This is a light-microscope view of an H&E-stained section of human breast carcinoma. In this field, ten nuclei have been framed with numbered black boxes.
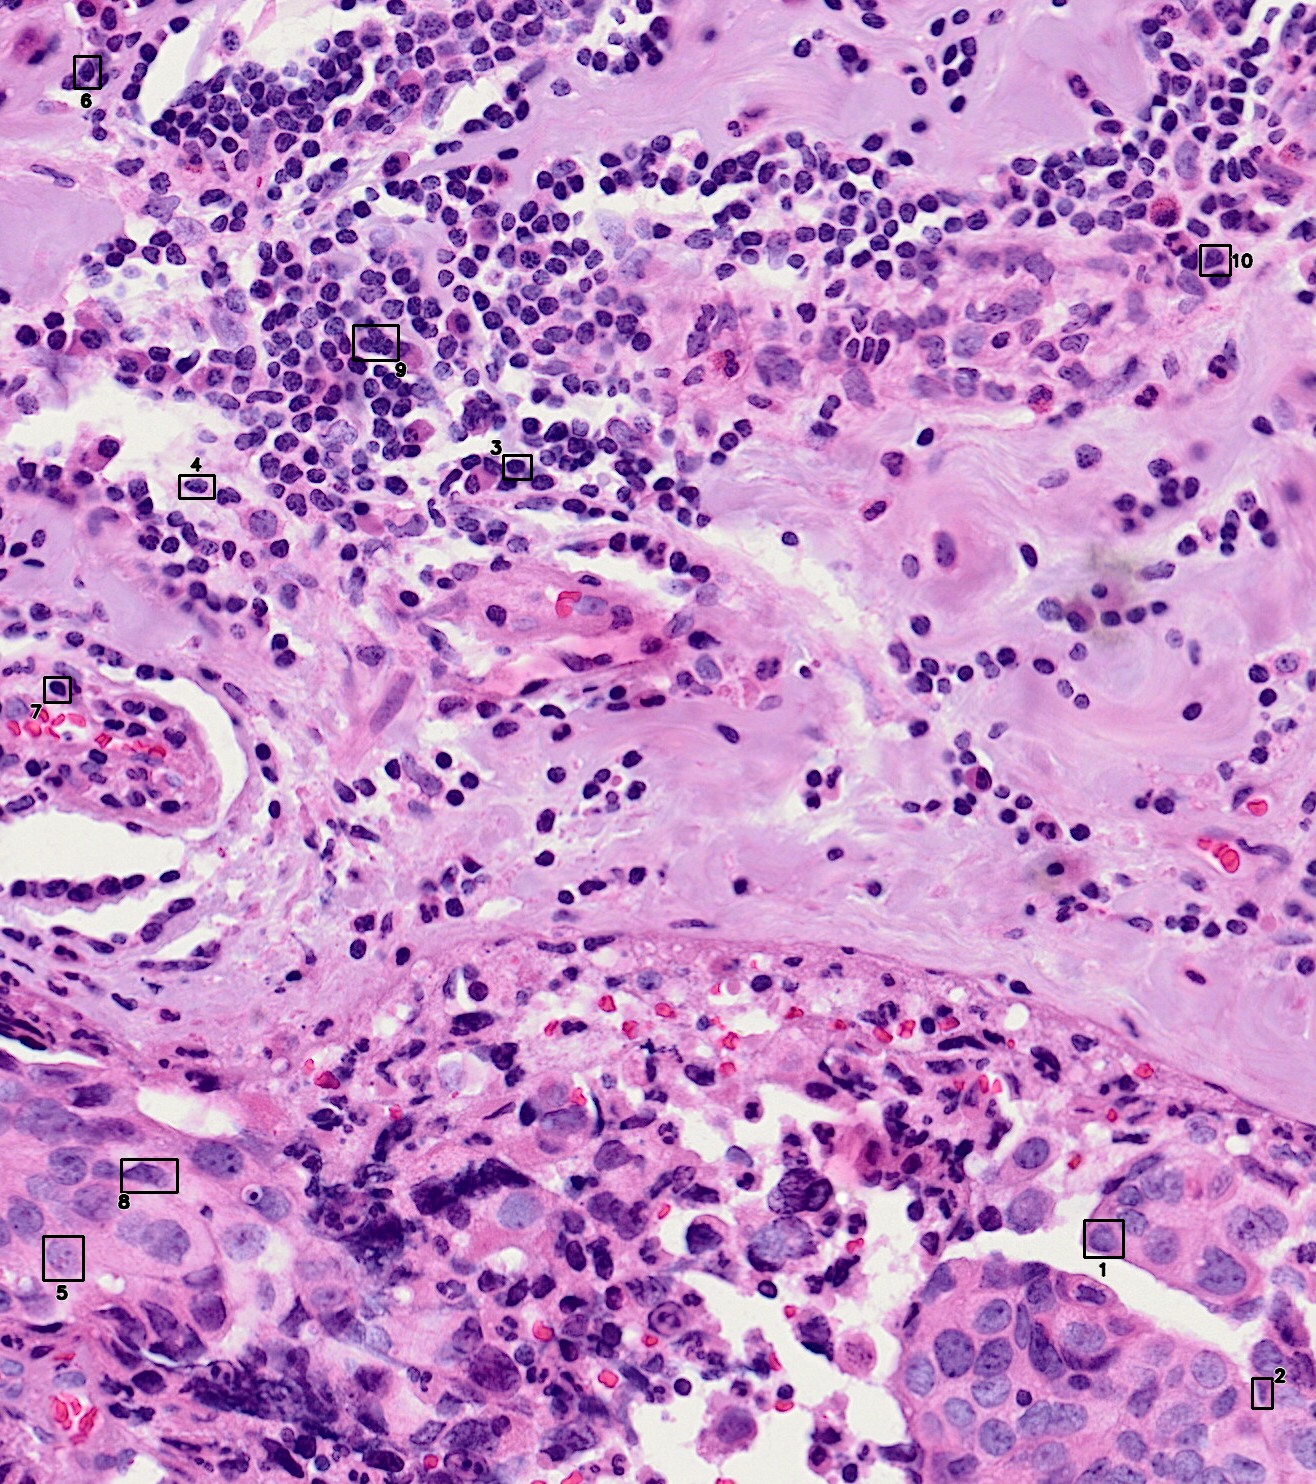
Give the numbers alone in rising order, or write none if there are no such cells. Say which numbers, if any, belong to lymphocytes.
3, 4, 6, 7, 9, 10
